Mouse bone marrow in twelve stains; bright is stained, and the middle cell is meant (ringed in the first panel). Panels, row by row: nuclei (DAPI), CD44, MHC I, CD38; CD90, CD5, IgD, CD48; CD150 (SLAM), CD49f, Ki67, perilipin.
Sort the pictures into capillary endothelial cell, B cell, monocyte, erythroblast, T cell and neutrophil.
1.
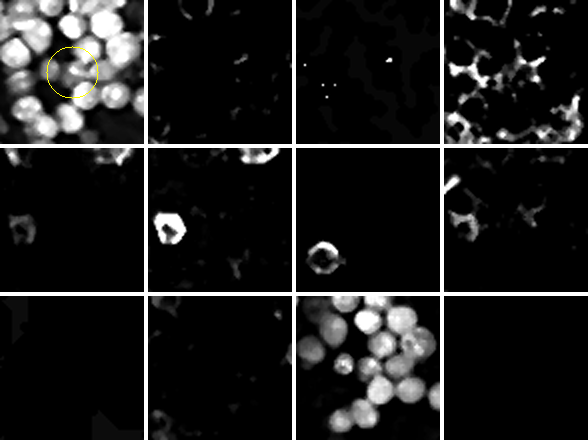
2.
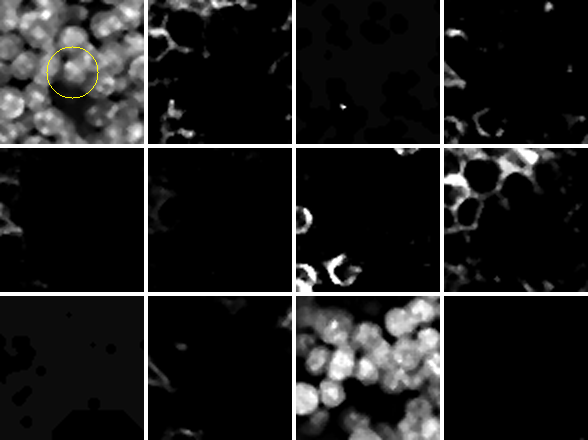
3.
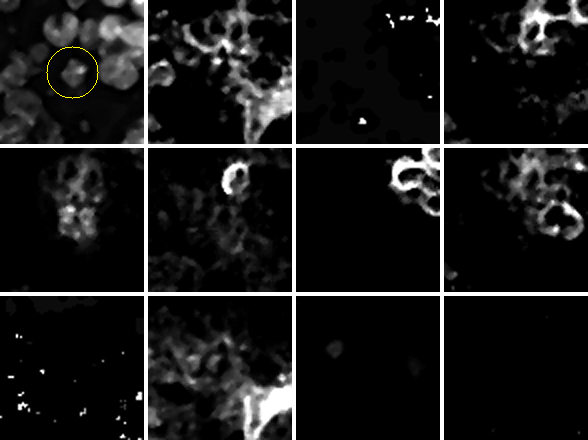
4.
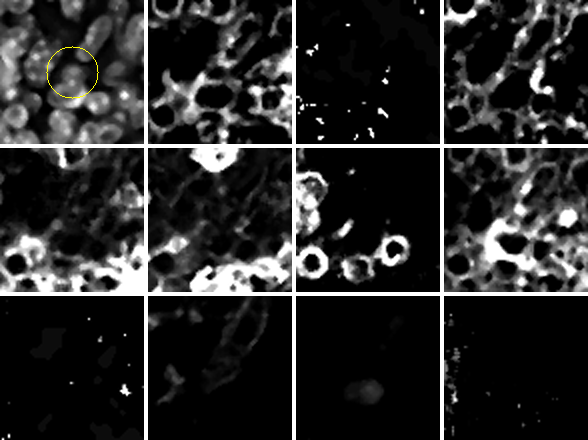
Erythroblasts: 1, 2
T cells: 3
Capillary endothelial cells: 4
